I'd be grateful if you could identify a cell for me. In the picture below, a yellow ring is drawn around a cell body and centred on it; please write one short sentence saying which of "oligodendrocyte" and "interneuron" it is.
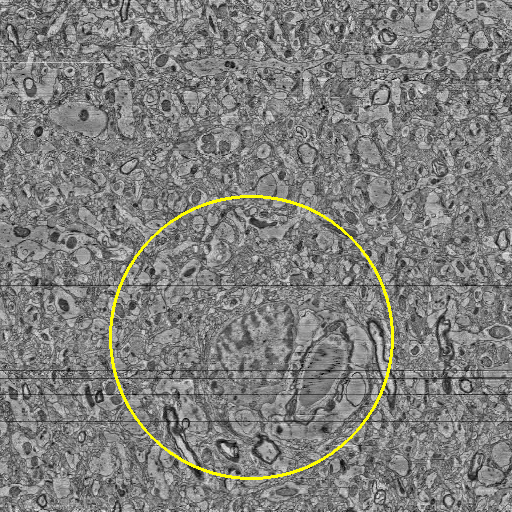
The cell under the ring's centre is an oligodendrocyte.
